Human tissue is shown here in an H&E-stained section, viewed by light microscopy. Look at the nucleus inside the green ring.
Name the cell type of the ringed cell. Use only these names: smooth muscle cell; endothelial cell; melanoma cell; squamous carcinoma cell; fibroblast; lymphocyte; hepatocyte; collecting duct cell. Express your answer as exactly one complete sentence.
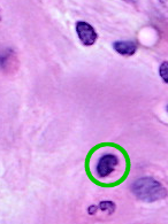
In cell-type terms, the ringed cell is a lymphocyte.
